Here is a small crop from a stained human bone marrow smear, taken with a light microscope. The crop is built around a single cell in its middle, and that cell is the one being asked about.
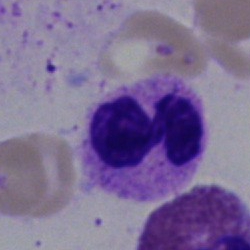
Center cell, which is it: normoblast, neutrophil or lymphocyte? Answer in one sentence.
This particular crop is centered on a neutrophil.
